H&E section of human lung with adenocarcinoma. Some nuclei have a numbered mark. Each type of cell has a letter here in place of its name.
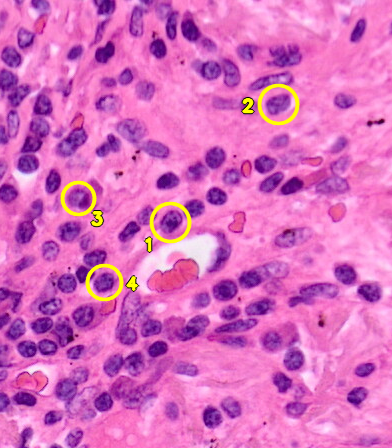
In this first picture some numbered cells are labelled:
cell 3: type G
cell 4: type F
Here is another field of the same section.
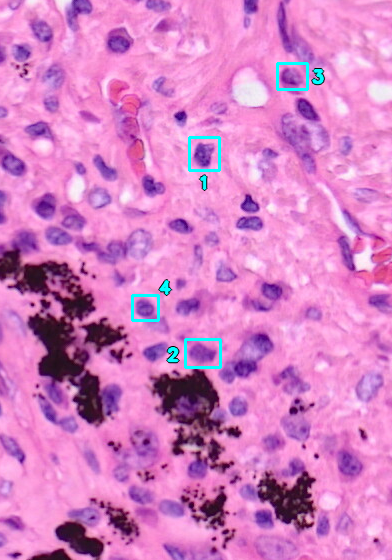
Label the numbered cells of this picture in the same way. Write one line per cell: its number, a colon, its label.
1: type F
2: type G
3: type G
4: type F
